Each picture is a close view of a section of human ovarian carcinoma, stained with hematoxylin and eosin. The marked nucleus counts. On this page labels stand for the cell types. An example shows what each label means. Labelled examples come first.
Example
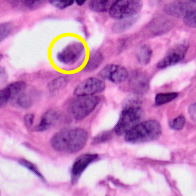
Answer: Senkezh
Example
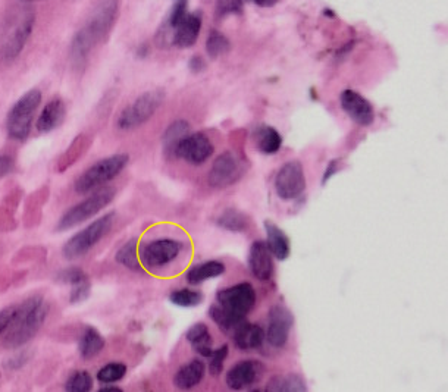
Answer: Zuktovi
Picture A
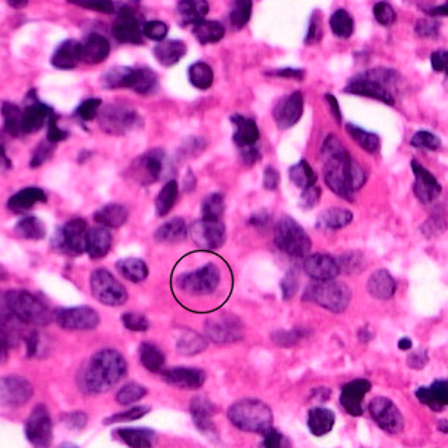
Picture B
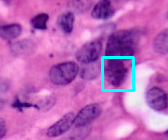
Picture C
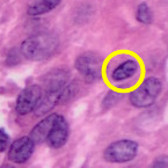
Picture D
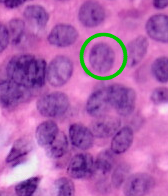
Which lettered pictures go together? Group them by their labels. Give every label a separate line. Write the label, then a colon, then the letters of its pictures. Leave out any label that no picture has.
Senkezh: B, D
Zuktovi: A, C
